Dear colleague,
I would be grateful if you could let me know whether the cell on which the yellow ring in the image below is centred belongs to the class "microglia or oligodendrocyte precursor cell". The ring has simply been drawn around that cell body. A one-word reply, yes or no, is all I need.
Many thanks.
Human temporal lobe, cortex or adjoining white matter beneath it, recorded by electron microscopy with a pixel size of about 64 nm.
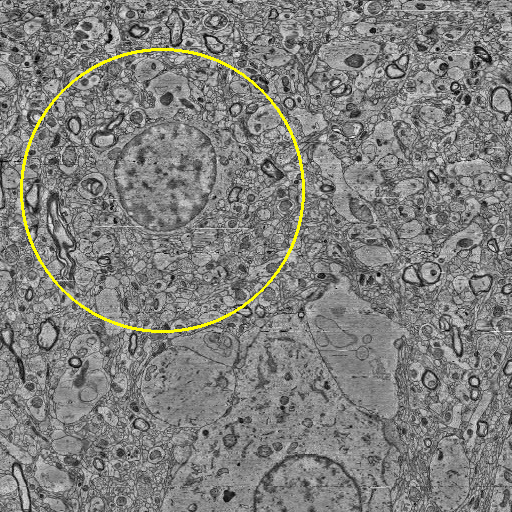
no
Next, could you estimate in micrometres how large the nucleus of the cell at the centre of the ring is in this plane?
In this plane the ringed cell's nucleus is roughly 7 micrometres across.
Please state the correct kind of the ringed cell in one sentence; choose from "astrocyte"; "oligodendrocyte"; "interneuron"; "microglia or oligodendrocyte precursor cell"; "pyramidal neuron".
Instead, the cell at the centre of the yellow ring is an oligodendrocyte.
